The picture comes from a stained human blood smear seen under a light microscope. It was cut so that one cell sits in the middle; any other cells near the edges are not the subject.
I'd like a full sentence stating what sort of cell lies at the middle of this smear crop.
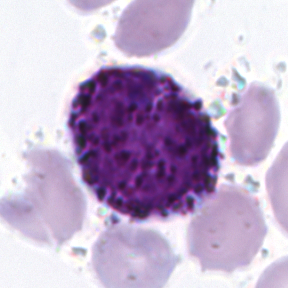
The cell around which this crop is centred is a basophil.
